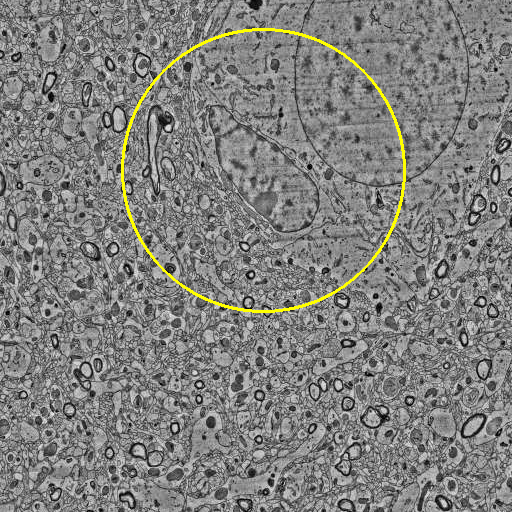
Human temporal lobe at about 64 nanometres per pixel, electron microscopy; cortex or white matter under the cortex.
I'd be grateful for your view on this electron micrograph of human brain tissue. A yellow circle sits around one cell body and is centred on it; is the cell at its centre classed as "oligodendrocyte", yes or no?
no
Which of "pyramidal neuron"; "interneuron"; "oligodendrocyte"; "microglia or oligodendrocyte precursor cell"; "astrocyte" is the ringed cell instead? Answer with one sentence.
At the centre of the ring sits a microglial cell or oligodendrocyte precursor cell.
